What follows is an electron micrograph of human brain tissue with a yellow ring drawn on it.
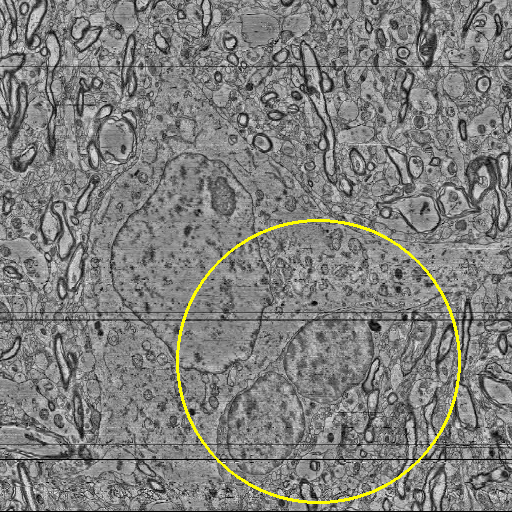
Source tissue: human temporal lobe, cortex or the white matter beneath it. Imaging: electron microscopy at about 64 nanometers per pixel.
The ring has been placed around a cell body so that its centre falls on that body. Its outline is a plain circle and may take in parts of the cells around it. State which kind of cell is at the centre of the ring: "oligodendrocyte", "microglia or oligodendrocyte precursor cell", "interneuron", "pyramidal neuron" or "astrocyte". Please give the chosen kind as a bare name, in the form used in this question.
oligodendrocyte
